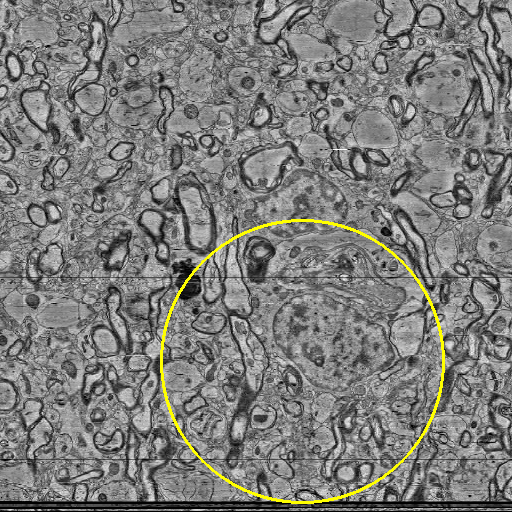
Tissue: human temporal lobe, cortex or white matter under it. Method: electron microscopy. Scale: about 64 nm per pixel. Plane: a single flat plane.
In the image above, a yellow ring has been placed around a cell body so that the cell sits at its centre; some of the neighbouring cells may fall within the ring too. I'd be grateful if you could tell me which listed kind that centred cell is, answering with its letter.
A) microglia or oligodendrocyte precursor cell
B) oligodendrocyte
B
